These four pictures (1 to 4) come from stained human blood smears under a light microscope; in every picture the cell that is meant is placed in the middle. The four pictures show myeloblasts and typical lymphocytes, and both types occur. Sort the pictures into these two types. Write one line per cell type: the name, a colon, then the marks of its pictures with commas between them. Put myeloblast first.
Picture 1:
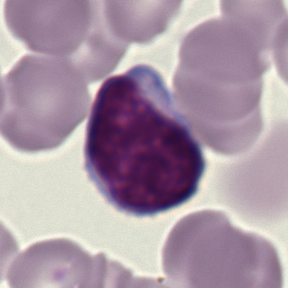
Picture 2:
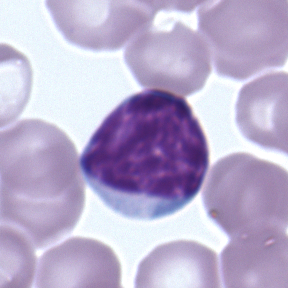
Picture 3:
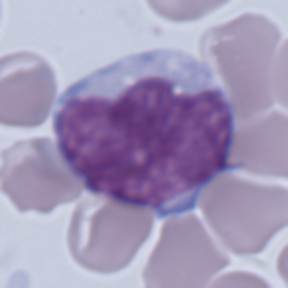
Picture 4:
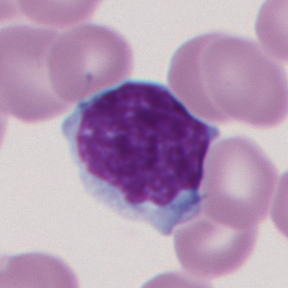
myeloblast: 2, 3
typical lymphocyte: 1, 4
